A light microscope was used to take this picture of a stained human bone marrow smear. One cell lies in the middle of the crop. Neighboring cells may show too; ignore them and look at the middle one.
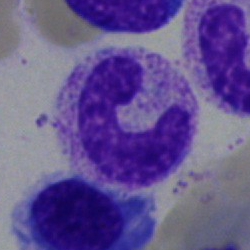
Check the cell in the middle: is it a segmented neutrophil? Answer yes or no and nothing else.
no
